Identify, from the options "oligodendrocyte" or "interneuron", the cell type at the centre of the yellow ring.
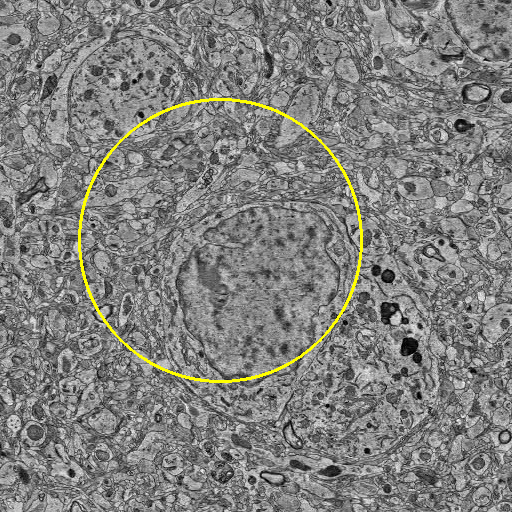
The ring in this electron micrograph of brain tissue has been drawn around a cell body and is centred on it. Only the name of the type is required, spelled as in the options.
interneuron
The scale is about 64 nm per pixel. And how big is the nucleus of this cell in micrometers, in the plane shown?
In this plane the nucleus is about 12 micrometres by 10.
